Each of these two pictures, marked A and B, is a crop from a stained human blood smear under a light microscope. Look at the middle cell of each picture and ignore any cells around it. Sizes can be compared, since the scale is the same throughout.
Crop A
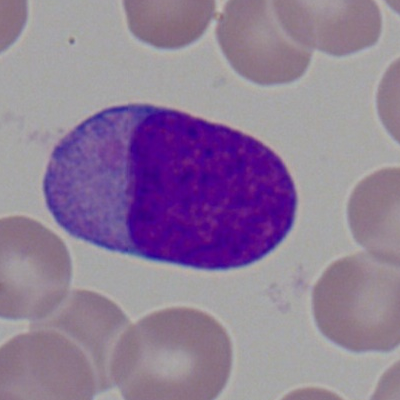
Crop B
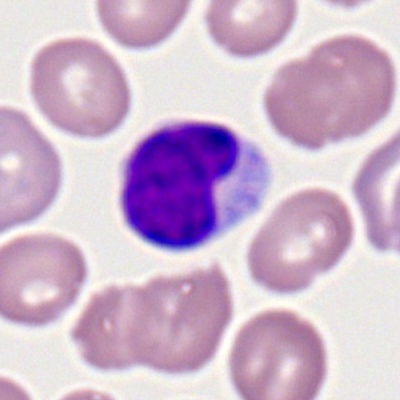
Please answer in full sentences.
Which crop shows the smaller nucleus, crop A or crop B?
Crop B shows the smaller nucleus, since that in crop A covers about 2 times as much area.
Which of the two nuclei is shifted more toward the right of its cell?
It is the nucleus in crop A that lies further toward the right of its cell.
